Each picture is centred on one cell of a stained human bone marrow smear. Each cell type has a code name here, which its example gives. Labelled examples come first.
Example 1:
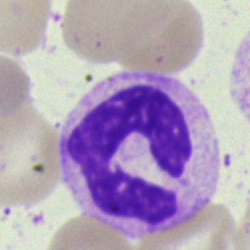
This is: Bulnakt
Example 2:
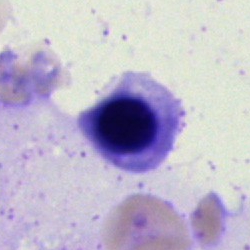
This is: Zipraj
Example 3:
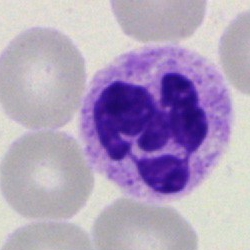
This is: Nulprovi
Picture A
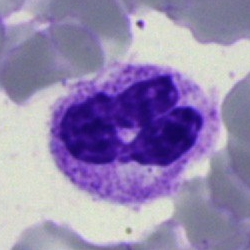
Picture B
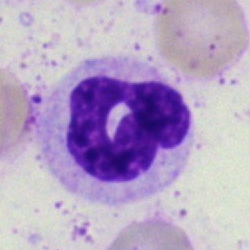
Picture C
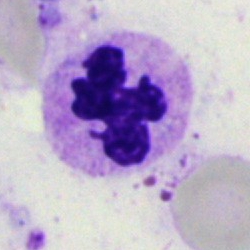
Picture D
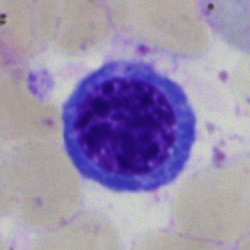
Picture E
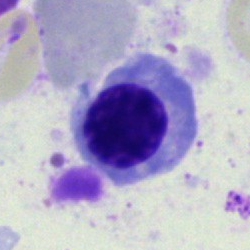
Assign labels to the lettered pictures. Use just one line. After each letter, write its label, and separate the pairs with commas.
A Nulprovi, B Nulprovi, C Nulprovi, D Zipraj, E Zipraj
